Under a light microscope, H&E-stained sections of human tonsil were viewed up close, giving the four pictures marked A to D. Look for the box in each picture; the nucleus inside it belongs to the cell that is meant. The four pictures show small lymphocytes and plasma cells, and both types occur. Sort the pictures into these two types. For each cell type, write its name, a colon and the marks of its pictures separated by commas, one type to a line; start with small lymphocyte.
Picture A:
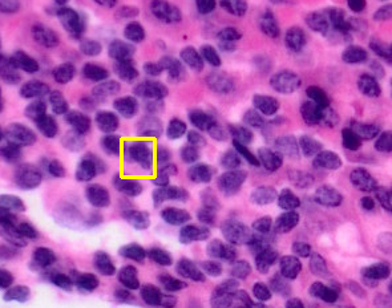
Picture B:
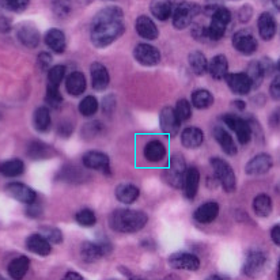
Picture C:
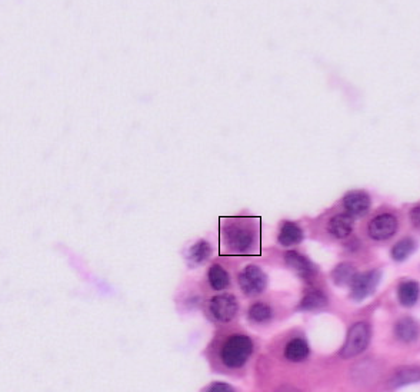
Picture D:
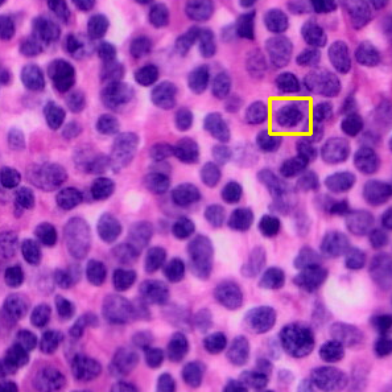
small lymphocyte: A, D
plasma cell: B, C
